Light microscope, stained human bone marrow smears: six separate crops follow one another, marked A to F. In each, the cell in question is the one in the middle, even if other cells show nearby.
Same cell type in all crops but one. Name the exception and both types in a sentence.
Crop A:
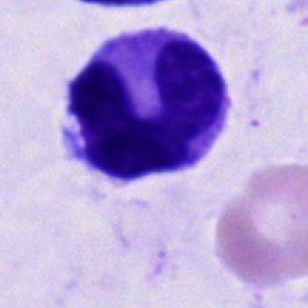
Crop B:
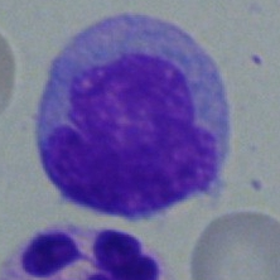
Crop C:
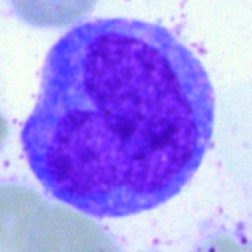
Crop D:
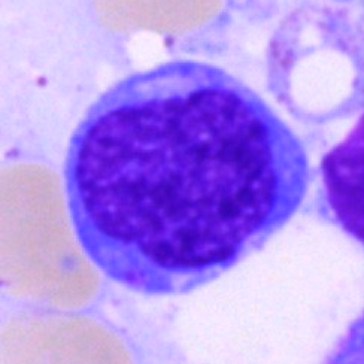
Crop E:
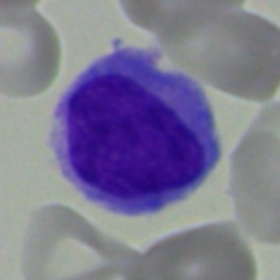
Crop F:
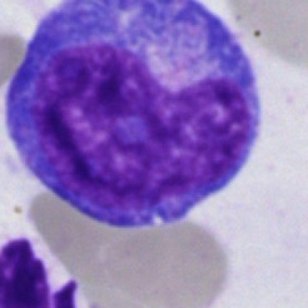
Apart from crop A, which shows a band neutrophil, every crop shows monocytes.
